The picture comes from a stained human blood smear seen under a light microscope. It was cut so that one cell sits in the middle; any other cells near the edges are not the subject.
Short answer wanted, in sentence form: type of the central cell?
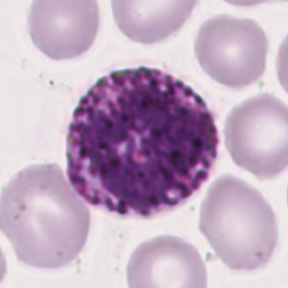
The cell centred in this crop is categorized as a basophil.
